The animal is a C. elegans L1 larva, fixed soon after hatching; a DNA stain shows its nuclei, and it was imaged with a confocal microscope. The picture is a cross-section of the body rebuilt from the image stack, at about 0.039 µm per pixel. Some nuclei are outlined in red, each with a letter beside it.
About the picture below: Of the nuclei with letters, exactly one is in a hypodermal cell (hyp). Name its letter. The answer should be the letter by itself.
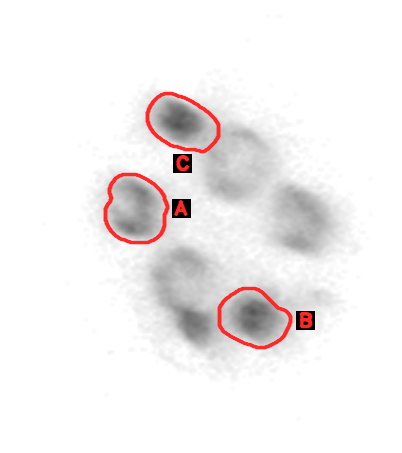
C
